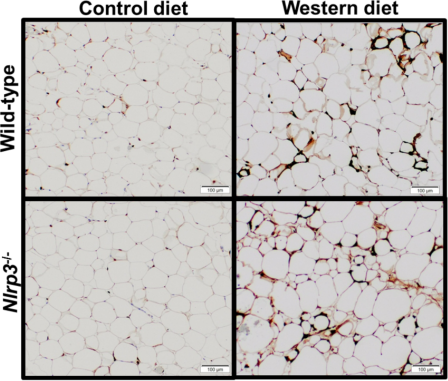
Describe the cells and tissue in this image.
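These four fields show white adipose tissue made up almost entirely of large, closely packed adipocytes. Each adipocyte looks empty, with the cytoplasm reduced to a thin rim around a large clear space, so the tissue looks like a fine net of polygonal outlines. Small flattened nuclei lie here and there in these rims. In the left-hand pair, brown-stained cells are scarce and sit singly in the thin septa between adipocytes. In the right-hand pair, the adipocytes vary more in size. Dense dark brown cells gather in clusters in the septa, and some of these clusters wrap around individual adipocytes.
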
